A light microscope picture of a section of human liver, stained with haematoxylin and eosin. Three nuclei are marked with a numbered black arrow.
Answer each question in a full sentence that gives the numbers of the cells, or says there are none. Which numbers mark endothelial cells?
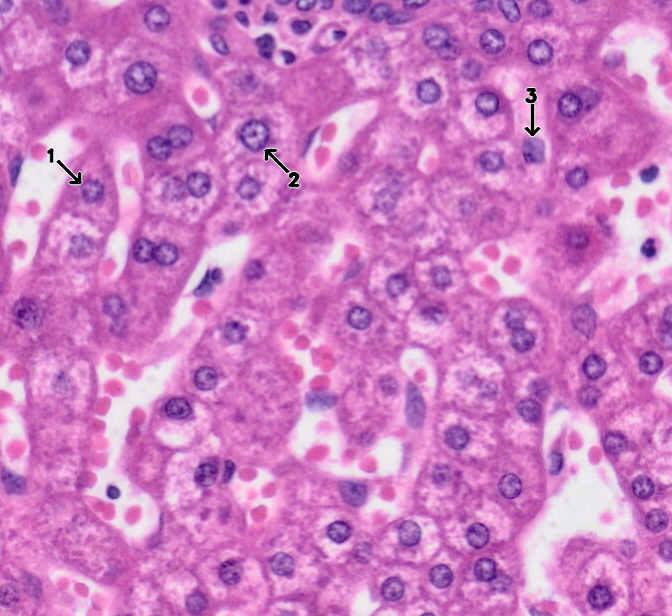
Just one numbered cell is an endothelial cell, and that cell is number 3.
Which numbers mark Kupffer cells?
There are no Kupffer cells in the group of numbered cells.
